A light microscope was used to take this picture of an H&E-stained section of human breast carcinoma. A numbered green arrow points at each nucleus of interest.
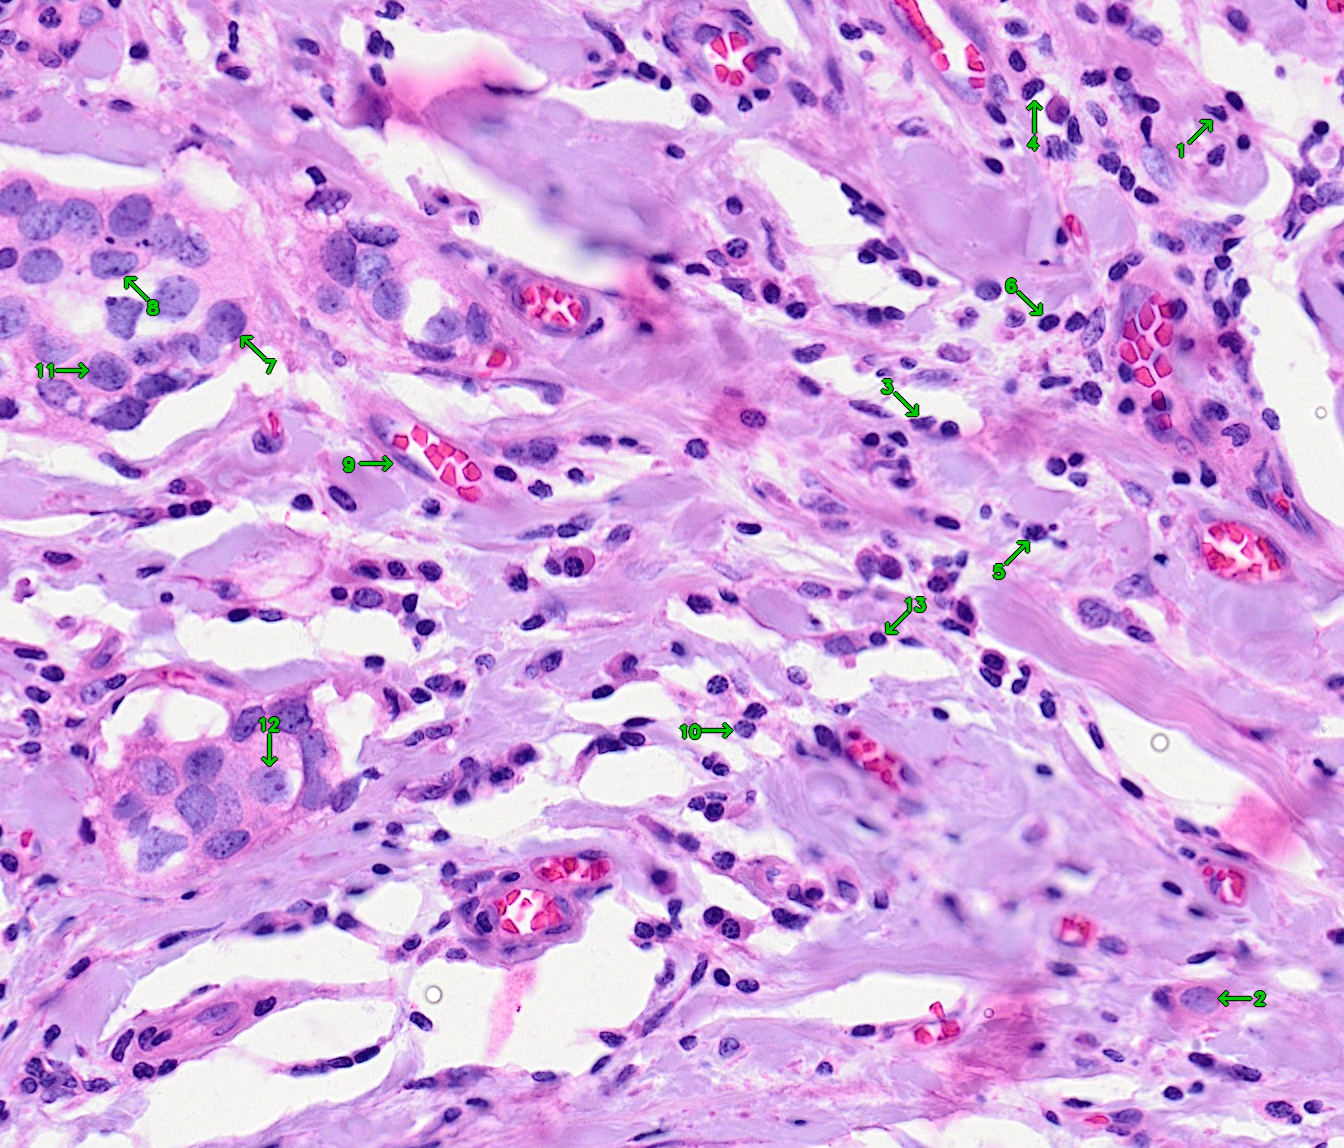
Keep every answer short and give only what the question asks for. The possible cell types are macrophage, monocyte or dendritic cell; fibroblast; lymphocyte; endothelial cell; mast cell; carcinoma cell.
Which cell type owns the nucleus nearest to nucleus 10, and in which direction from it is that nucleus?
a lymphocyte, above and to the right of nucleus 10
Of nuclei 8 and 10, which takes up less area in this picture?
10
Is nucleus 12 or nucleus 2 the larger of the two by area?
12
